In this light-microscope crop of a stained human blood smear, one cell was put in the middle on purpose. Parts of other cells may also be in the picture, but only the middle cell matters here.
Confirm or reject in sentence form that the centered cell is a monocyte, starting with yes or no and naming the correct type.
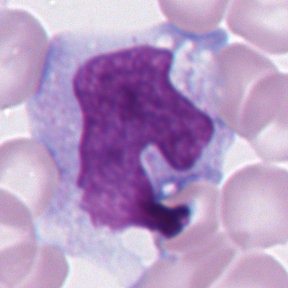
Yes, shown in the middle of the crop is a monocyte.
